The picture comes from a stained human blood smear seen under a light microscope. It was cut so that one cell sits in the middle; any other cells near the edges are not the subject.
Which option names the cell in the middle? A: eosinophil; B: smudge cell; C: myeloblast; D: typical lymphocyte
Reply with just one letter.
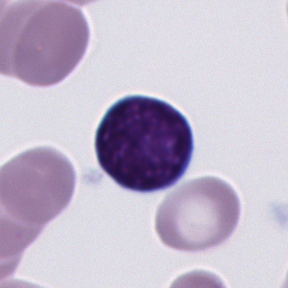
D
